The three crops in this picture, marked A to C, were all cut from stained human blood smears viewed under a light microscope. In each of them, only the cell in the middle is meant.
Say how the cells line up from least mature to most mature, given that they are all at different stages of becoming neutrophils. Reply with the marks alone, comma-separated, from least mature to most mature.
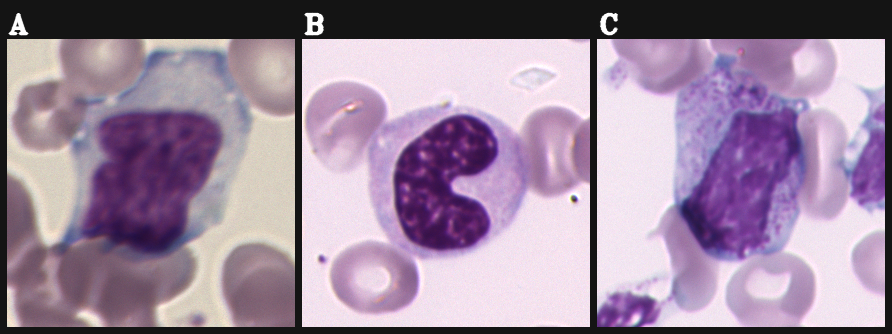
A, C, B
